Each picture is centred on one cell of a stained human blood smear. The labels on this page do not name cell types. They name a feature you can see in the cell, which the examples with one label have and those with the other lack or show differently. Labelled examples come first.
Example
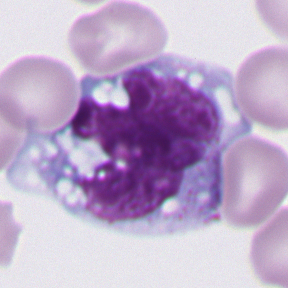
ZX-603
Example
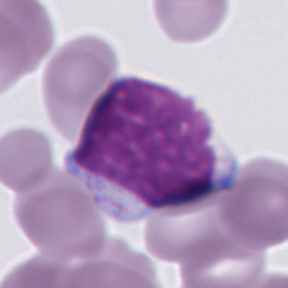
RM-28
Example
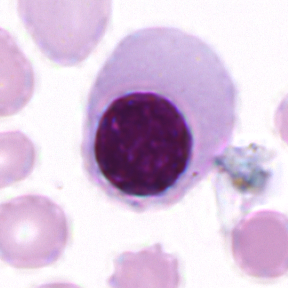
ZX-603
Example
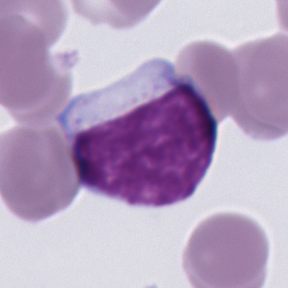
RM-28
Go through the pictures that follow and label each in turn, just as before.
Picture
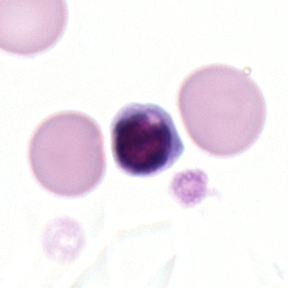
RM-28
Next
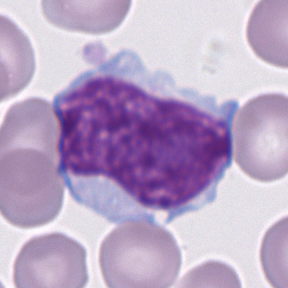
RM-28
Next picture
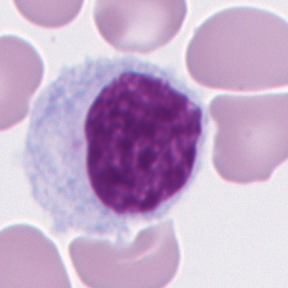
ZX-603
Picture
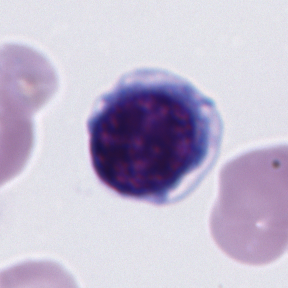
RM-28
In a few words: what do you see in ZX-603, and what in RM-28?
In ZX-603: abundant cytoplasm. In RM-28: scant cytoplasm.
